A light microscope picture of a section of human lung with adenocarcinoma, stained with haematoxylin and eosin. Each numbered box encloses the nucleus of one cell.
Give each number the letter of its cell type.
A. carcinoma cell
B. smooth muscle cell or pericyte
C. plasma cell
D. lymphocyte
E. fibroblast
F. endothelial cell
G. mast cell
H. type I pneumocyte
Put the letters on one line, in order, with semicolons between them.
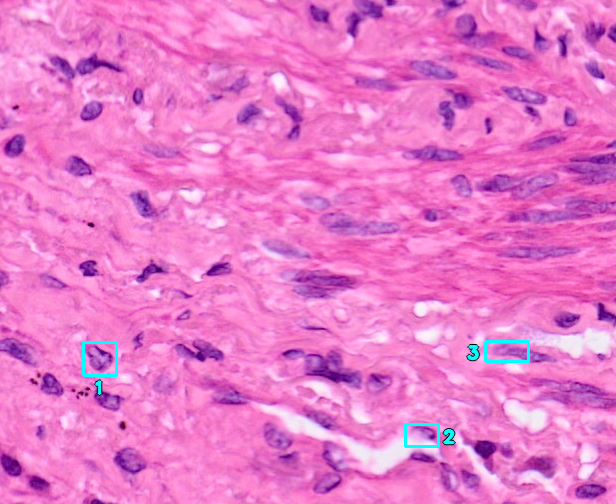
E; F; B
